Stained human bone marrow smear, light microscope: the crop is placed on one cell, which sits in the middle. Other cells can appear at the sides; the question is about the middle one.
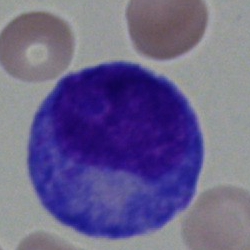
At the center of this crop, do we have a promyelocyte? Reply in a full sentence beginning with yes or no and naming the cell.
Yes, the cell found at the centre of the crop is a promyelocyte.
